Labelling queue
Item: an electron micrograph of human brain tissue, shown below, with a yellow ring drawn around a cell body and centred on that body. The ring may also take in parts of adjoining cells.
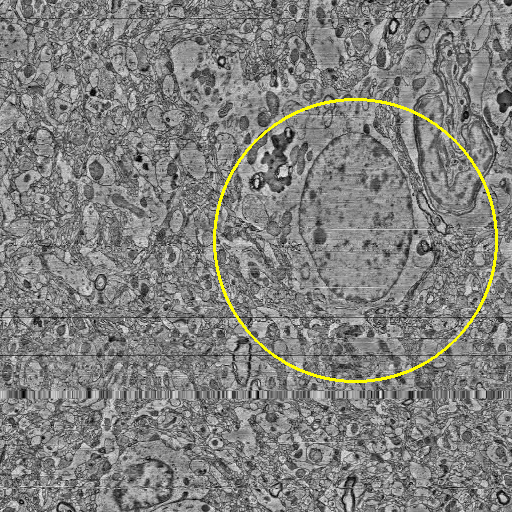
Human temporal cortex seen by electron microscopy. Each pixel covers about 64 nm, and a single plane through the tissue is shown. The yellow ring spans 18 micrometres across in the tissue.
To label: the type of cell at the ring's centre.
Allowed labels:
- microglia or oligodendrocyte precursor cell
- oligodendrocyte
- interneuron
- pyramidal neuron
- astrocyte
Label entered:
astrocyte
